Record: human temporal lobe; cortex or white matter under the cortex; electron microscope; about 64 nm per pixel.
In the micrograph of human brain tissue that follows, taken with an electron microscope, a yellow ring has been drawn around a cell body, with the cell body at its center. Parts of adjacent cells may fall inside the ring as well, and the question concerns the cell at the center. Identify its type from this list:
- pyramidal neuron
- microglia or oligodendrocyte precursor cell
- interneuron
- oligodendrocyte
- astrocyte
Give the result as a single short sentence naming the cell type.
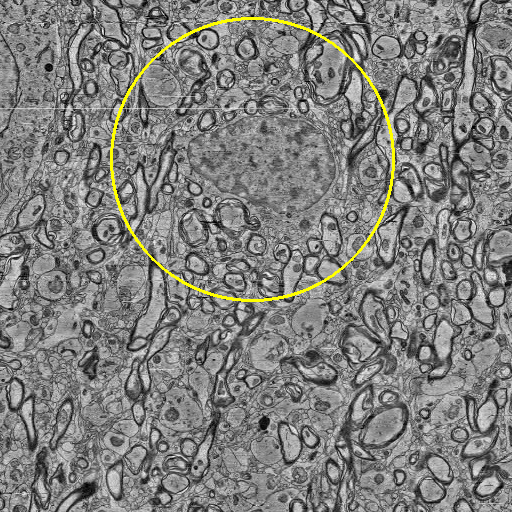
The ring is centered on an oligodendrocyte.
